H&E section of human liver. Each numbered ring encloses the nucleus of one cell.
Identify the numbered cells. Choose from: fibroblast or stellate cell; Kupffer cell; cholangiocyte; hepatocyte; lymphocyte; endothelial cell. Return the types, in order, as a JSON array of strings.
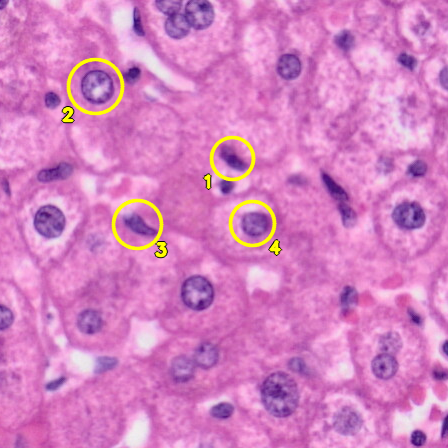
["fibroblast or stellate cell", "hepatocyte", "fibroblast or stellate cell", "hepatocyte"]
